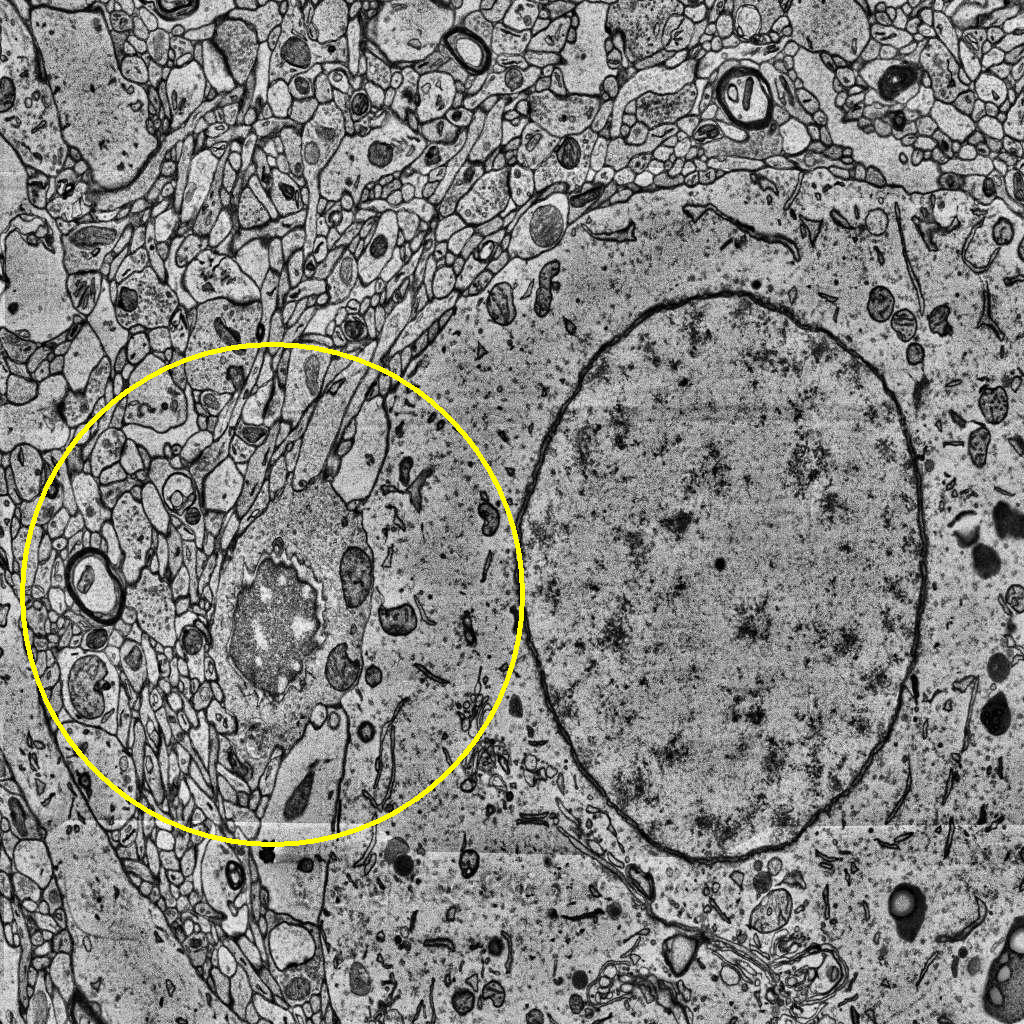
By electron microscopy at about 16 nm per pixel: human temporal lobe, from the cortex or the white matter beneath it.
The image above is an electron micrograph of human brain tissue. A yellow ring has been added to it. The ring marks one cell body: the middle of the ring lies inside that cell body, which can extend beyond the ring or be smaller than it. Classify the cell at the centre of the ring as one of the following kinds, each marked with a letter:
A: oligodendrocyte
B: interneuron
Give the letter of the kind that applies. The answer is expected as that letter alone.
A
